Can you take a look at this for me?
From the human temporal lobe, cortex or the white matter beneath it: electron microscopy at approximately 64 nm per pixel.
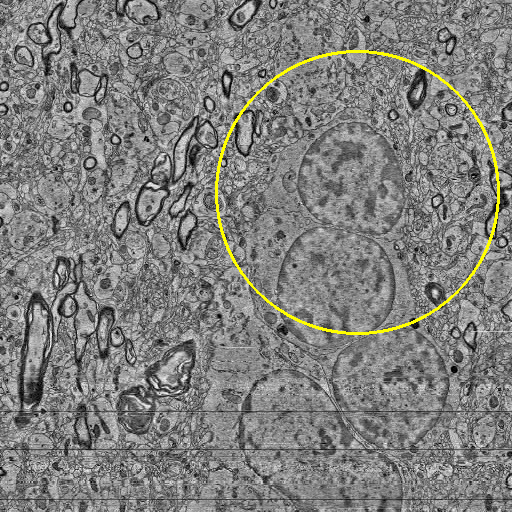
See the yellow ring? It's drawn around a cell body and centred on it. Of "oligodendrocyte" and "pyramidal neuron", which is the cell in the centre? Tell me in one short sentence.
The one in the centre is an oligodendrocyte.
